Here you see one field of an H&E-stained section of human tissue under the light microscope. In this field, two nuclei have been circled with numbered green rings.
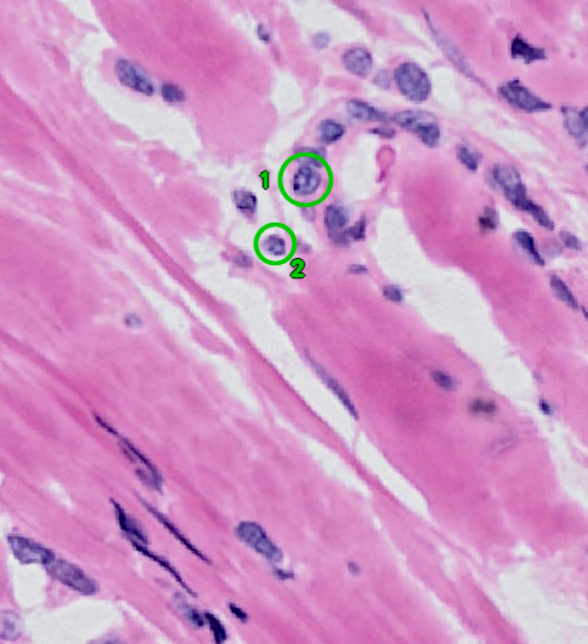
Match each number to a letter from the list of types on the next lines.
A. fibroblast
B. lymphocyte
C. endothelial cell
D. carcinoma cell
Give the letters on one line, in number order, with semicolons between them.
C; B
